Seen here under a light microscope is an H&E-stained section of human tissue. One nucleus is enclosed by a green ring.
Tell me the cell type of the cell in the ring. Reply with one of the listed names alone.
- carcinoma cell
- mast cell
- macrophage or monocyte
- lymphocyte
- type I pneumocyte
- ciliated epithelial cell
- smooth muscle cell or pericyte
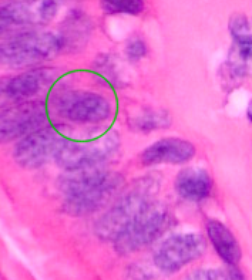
ciliated epithelial cell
